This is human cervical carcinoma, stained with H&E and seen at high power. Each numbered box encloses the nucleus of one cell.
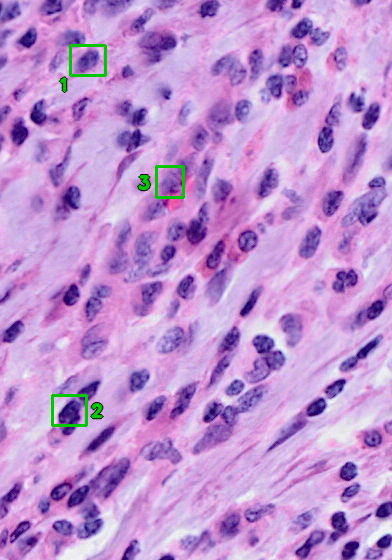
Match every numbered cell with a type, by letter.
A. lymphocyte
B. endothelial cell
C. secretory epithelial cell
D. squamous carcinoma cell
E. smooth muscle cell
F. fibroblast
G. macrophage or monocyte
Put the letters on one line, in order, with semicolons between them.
A; A; B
